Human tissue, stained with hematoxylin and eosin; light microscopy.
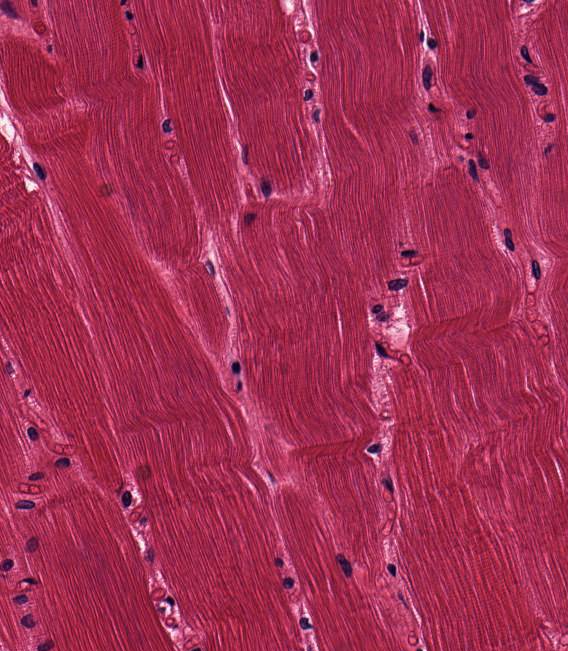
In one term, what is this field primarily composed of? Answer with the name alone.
skeletal muscle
